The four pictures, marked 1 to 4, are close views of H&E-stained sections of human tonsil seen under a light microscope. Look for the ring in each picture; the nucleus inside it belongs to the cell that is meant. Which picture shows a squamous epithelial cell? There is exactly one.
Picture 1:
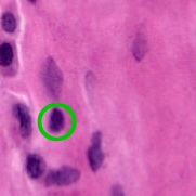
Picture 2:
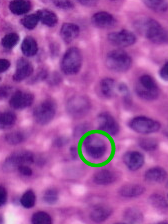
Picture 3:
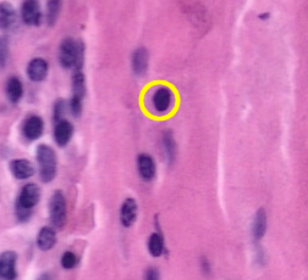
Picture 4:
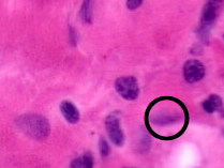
2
